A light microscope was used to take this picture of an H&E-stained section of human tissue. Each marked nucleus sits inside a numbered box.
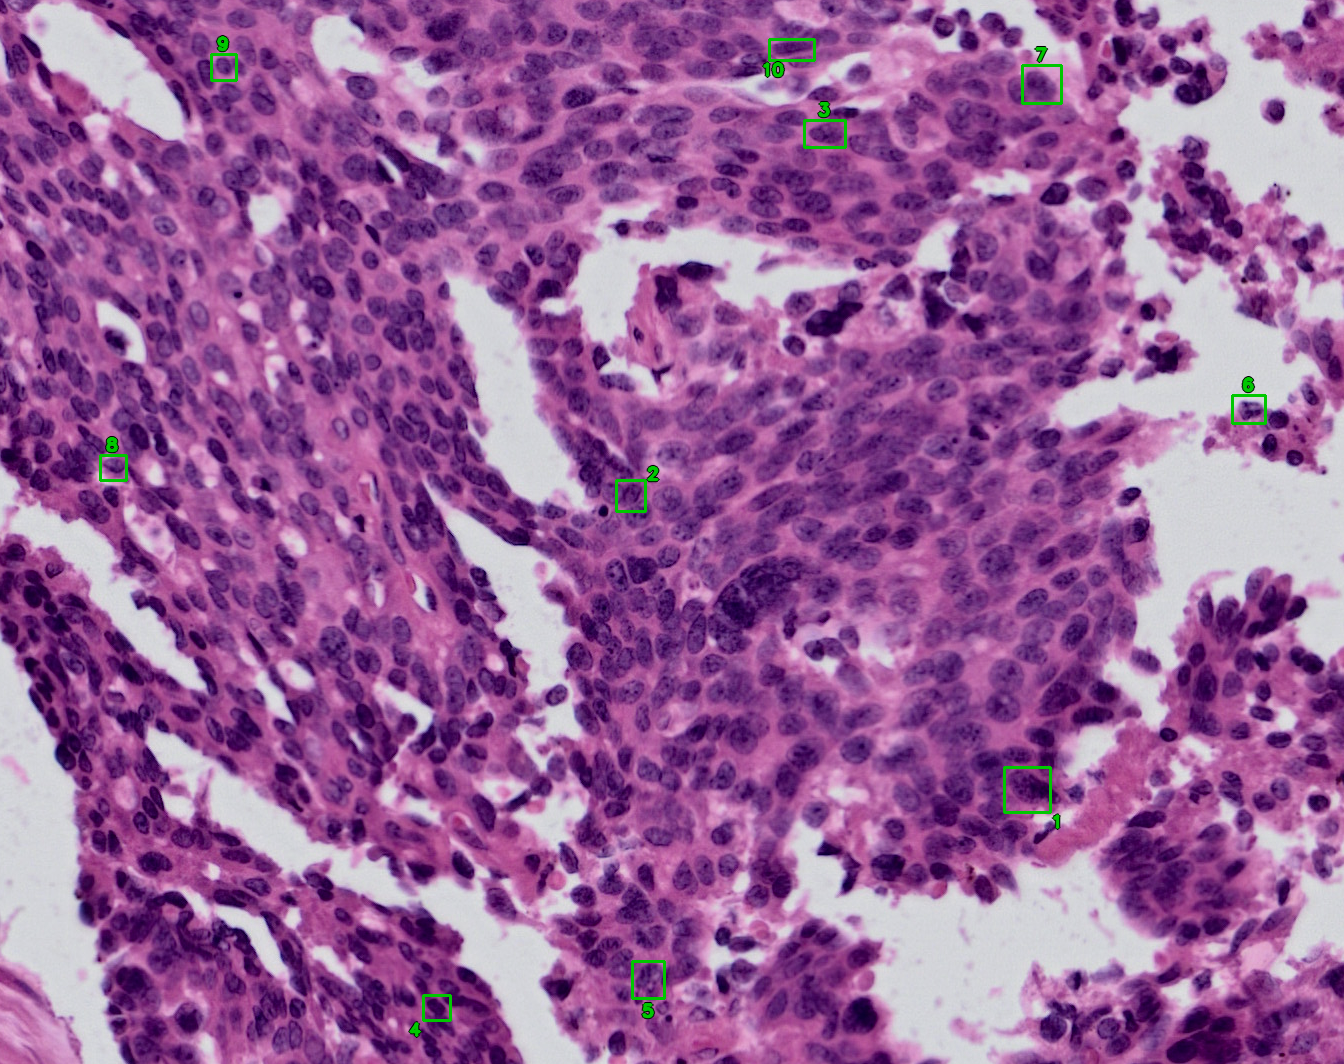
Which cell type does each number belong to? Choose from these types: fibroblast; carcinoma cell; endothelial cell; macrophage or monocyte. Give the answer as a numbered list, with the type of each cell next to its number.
1. carcinoma cell
2. carcinoma cell
3. carcinoma cell
4. carcinoma cell
5. macrophage or monocyte
6. macrophage or monocyte
7. carcinoma cell
8. macrophage or monocyte
9. macrophage or monocyte
10. carcinoma cell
